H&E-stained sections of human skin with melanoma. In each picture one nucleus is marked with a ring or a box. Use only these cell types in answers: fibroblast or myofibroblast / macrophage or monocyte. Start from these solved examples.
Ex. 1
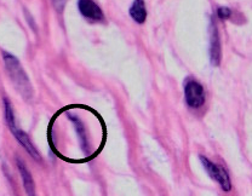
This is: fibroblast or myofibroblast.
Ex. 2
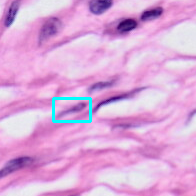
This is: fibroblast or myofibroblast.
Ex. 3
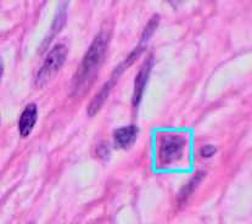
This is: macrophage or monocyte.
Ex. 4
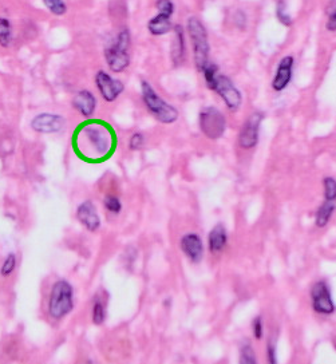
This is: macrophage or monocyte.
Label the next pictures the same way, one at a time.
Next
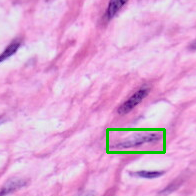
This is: fibroblast or myofibroblast.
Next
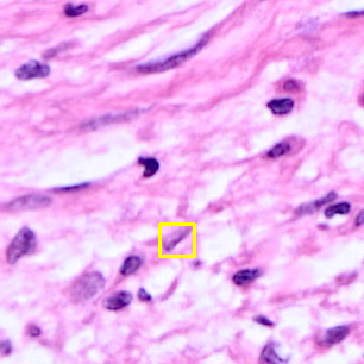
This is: fibroblast or myofibroblast.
